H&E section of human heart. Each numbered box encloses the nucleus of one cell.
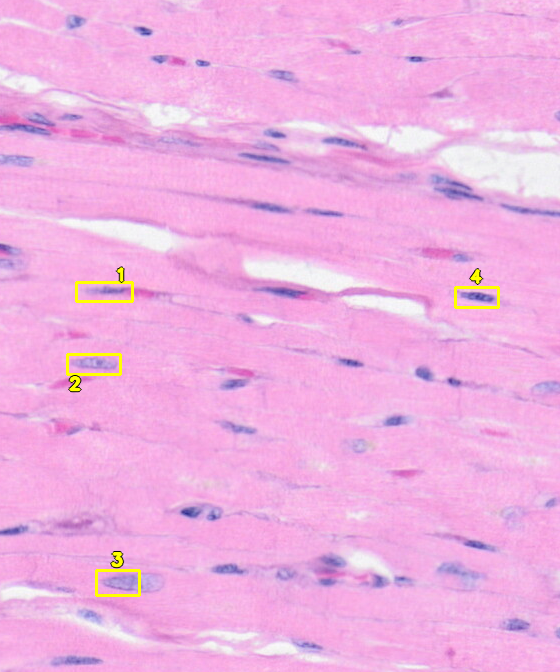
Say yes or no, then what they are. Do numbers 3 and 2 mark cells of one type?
Yes, both are cardiomyocytes.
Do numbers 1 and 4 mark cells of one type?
Yes, both are endothelial cells.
